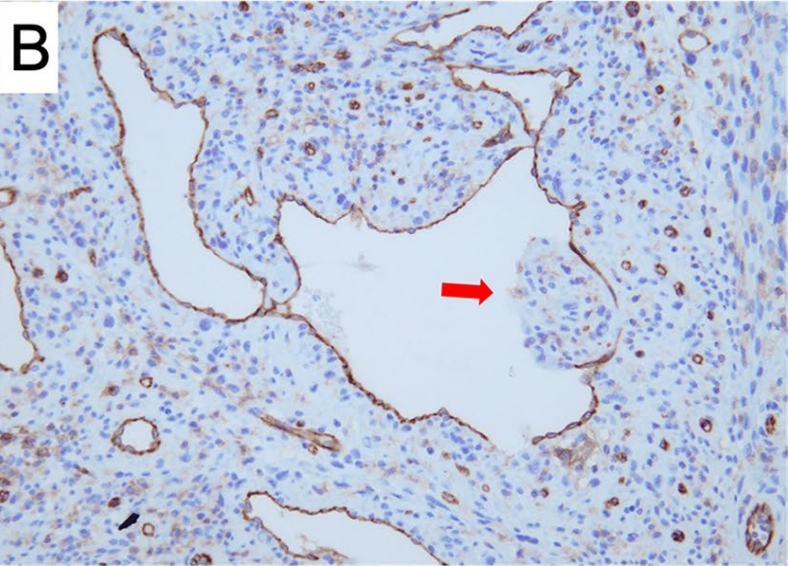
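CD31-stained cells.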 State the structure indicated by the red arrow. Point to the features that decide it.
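The arrow points at a rounded cell mass bulging into a large lumen. The surface of this mass lacks the continuous brown lining seen elsewhere. That points to this answer: intravascular protrusions.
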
